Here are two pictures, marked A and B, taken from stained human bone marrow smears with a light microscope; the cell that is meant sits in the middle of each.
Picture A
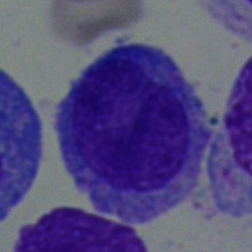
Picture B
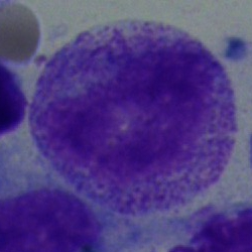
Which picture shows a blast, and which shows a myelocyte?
A: blast
B: myelocyte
